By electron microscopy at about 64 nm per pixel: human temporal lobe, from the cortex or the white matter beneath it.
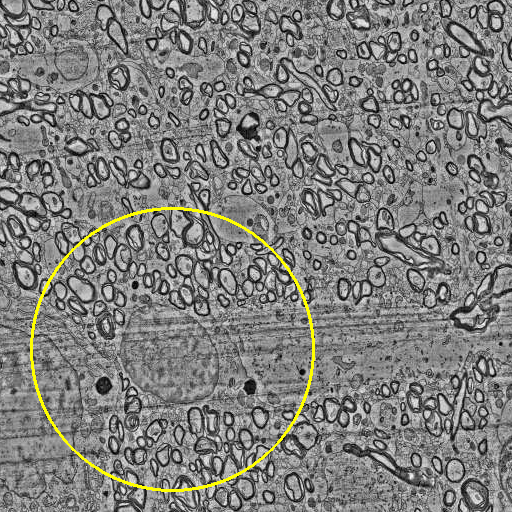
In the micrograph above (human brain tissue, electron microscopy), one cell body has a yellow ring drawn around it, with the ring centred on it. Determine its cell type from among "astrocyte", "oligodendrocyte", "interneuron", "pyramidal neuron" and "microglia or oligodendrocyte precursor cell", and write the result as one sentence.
The cell whose body is ringed is an oligodendrocyte.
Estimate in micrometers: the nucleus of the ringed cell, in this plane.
The nucleus has a long axis of about 7 micrometres and a short axis of about 6 micrometres in this plane.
